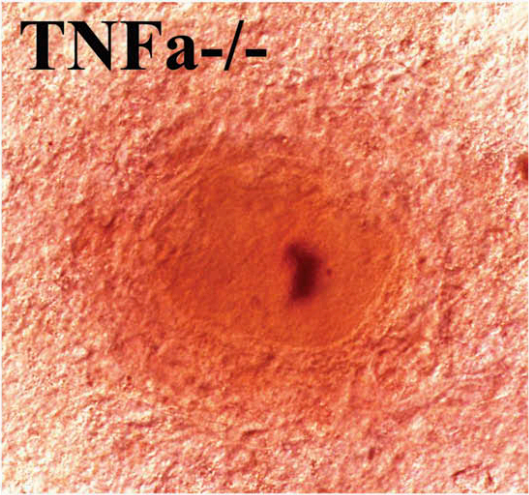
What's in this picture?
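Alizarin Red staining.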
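The nodule has a fairly sharp, ring-like border and stains a deeper orange-red than the granular, pinkish cell layer around it. Near its middle lies a small, dark red-brown deposit where staining is most intense. Single cells are hard to make out; the surrounding layer looks rough and granular rather than showing clear cell outlines.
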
